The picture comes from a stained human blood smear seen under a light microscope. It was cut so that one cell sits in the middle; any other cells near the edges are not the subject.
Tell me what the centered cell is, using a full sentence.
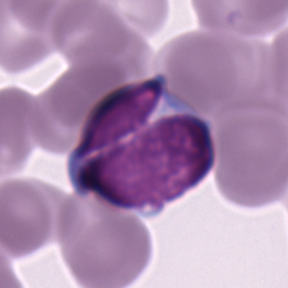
The middle of this crop is occupied by a large granular lymphocyte.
